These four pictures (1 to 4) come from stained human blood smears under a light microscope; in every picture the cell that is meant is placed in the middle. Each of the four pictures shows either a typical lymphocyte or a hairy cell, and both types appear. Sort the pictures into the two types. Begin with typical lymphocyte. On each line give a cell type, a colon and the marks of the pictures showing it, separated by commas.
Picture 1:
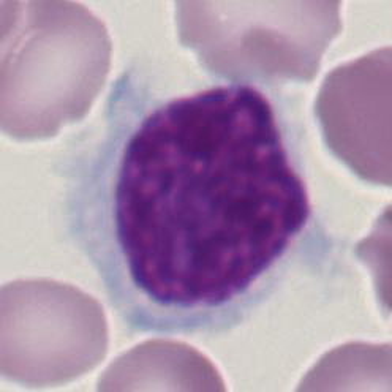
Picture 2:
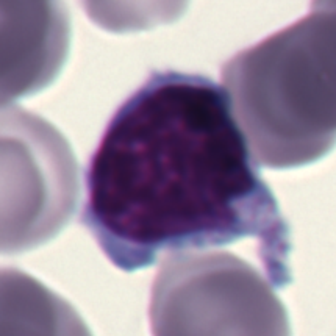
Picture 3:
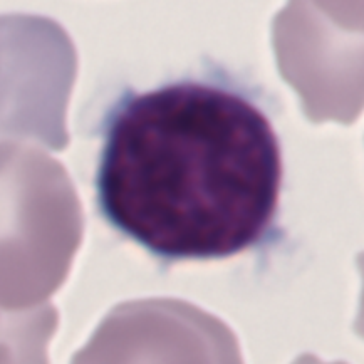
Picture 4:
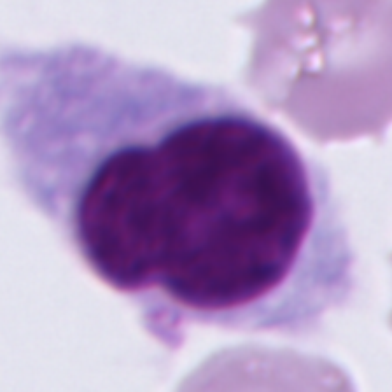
typical lymphocyte: 2
hairy cell: 1, 3, 4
